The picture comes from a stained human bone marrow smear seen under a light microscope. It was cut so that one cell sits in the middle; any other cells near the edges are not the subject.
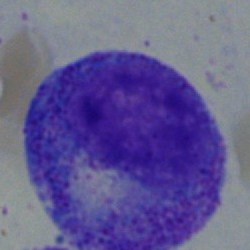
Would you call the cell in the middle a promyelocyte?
yes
